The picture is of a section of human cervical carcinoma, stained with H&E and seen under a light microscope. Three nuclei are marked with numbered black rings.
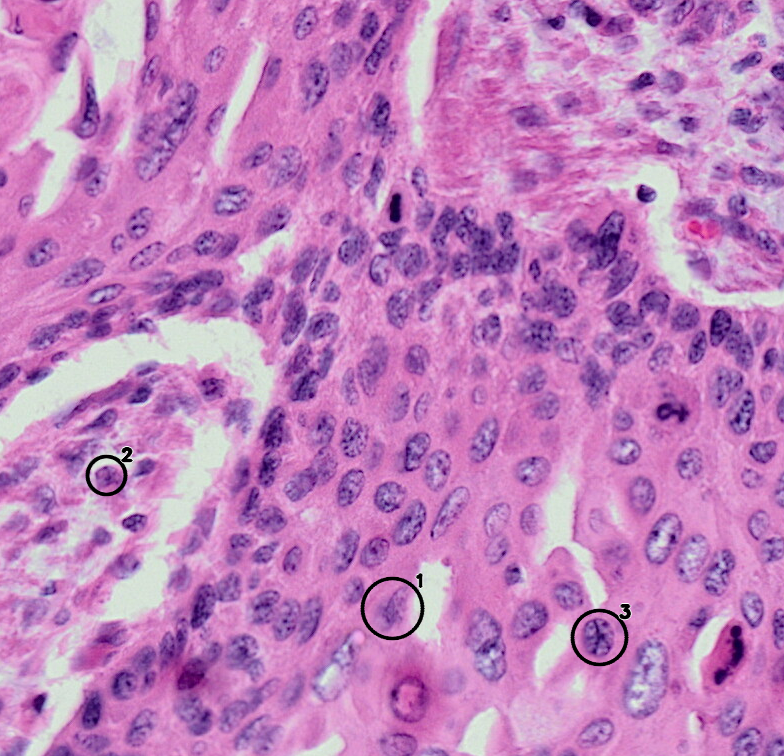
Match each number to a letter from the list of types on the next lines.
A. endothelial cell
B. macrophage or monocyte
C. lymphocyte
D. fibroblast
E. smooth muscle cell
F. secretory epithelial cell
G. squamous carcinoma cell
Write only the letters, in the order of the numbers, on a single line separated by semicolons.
G; B; G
